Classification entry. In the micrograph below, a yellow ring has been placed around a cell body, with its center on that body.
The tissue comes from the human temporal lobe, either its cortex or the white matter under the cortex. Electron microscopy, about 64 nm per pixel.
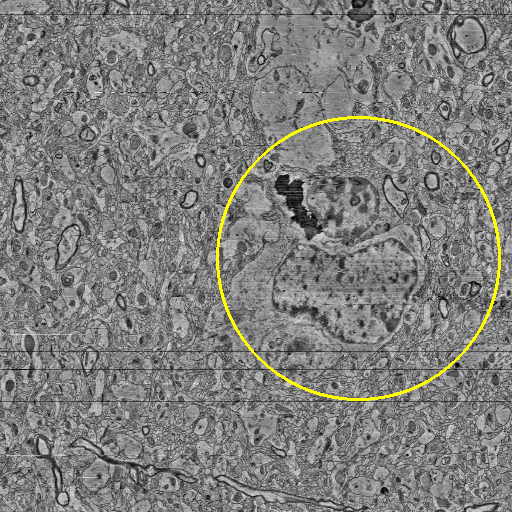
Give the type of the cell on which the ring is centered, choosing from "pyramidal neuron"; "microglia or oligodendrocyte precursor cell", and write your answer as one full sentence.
The cell body at the center of the yellow ring belongs to a microglial cell or oligodendrocyte precursor cell.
